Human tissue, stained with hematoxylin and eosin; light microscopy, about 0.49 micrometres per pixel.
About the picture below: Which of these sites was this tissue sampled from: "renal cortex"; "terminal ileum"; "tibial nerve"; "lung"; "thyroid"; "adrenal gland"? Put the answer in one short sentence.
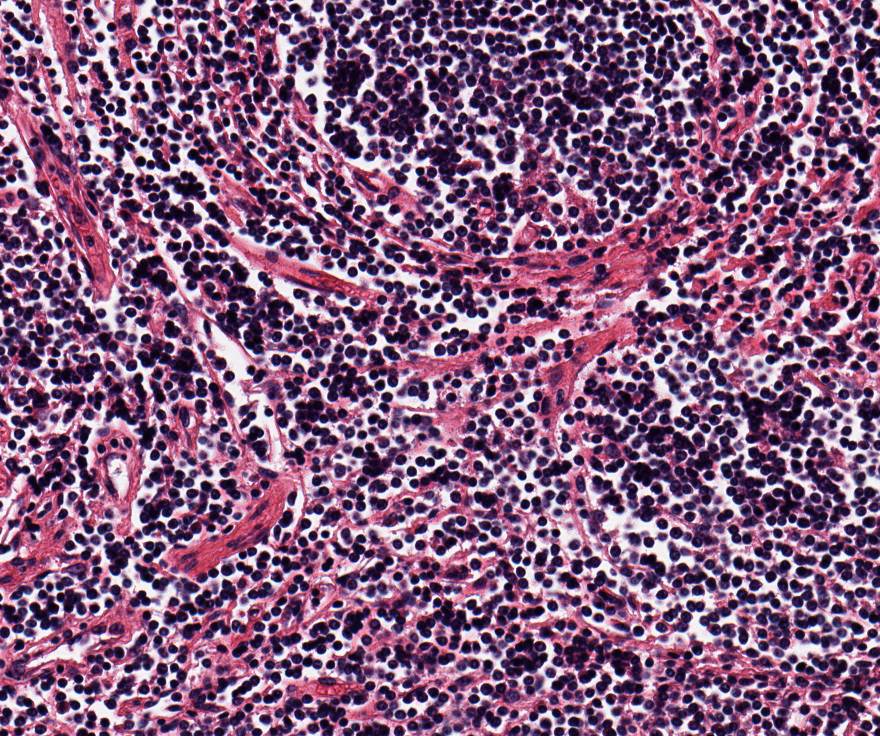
The site this tissue was sampled from is the terminal ileum.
